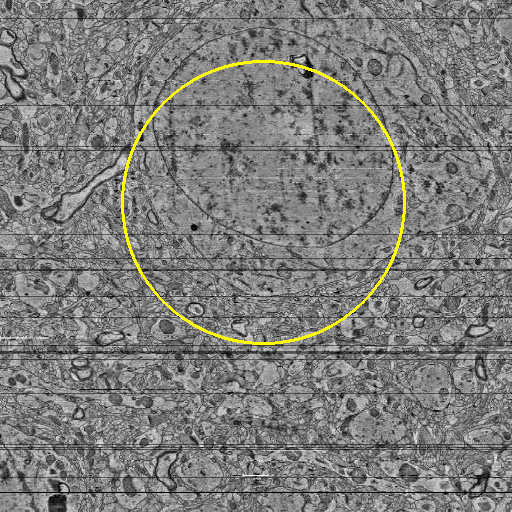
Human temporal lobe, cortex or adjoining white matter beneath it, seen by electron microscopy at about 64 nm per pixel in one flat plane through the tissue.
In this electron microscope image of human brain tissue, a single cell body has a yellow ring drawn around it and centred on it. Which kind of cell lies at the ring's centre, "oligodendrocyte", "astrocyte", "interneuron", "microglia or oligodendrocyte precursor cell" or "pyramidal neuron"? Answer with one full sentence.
It is a pyramidal neuron whose cell body lies at the centre of the yellow ring here.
